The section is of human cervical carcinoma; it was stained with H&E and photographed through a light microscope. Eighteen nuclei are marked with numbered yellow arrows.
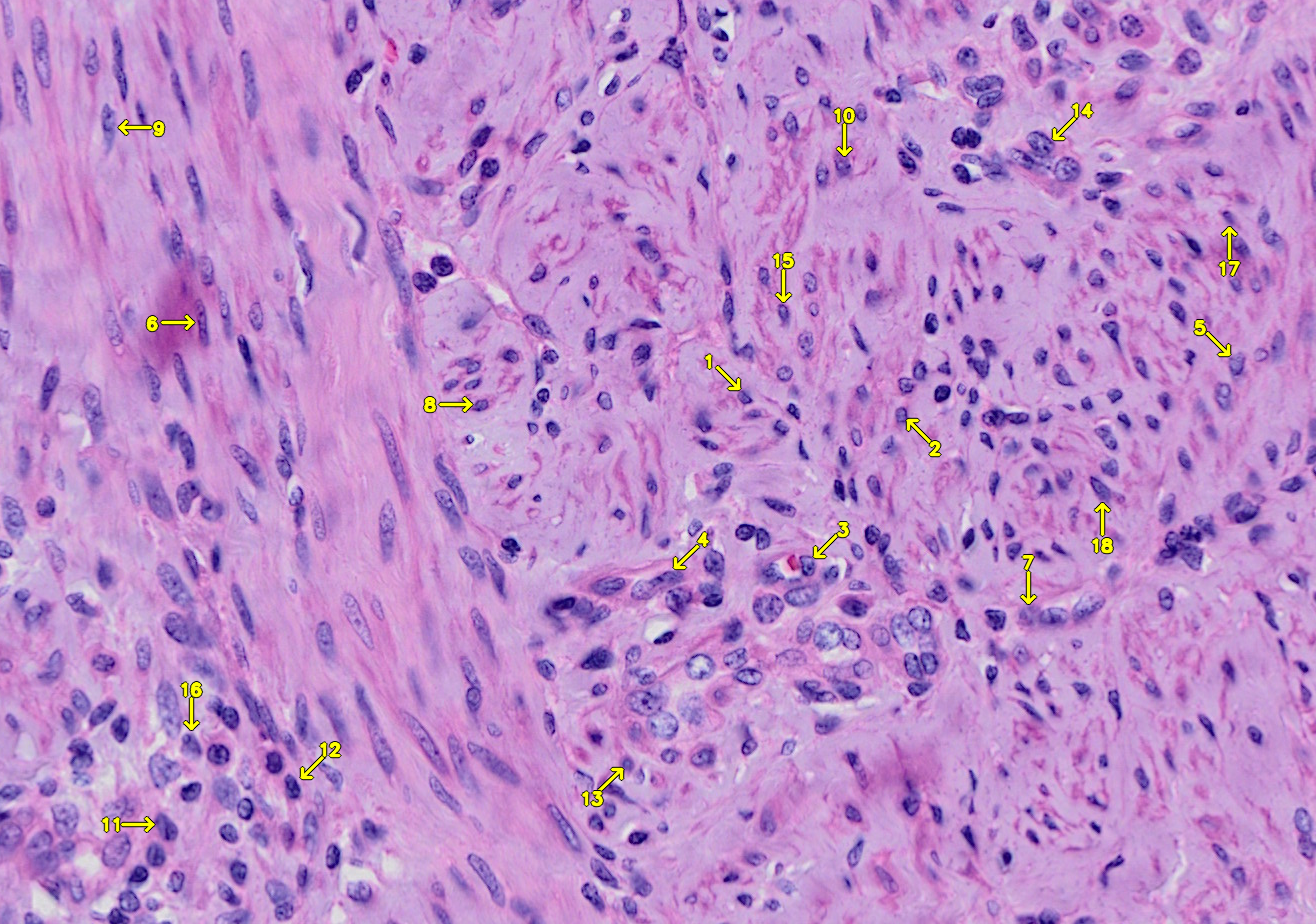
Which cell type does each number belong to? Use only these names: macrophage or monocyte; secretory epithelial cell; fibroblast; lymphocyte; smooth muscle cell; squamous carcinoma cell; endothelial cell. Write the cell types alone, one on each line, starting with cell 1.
smooth muscle cell
smooth muscle cell
endothelial cell
endothelial cell
smooth muscle cell
smooth muscle cell
endothelial cell
smooth muscle cell
fibroblast
smooth muscle cell
lymphocyte
lymphocyte
smooth muscle cell
endothelial cell
smooth muscle cell
lymphocyte
smooth muscle cell
smooth muscle cell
